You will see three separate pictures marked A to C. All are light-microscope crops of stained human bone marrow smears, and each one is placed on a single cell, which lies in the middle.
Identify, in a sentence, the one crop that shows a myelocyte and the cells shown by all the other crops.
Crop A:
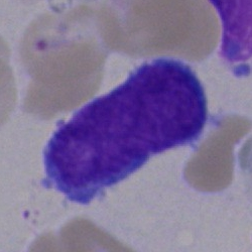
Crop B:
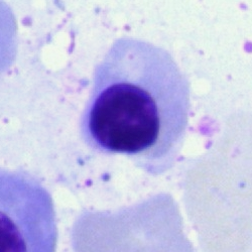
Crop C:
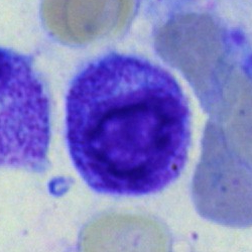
Crop C is classified as a myelocyte, whereas crop A is a blast and crop B is an erythroblast.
